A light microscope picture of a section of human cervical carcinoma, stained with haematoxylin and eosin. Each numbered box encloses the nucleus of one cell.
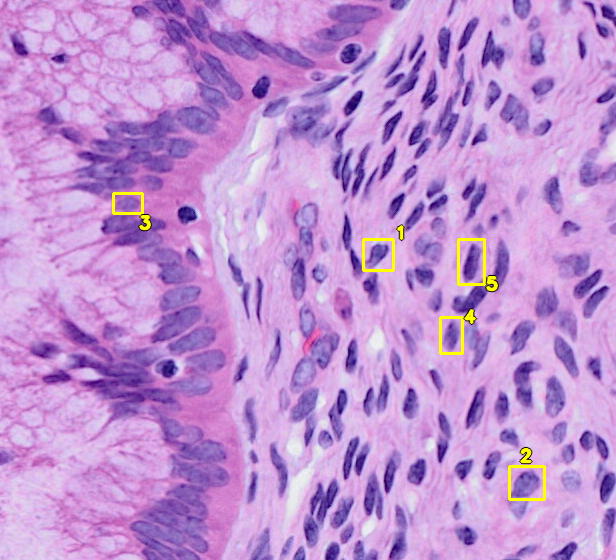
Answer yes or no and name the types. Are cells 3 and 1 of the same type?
No, the cell tagged 3 is a secretory epithelial cell, whereas the cell tagged 1 is a fibroblast.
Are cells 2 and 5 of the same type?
No, unlike cell 2, which is an endothelial cell, cell 5 is a fibroblast.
